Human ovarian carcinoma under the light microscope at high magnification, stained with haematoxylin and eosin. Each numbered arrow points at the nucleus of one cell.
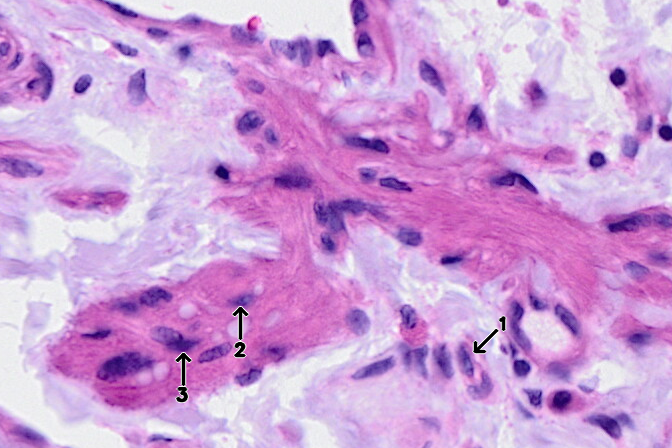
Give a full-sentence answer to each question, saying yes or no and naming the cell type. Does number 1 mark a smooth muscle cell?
No, the right label for cell 1 is an endothelial cell rather than a smooth muscle cell.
